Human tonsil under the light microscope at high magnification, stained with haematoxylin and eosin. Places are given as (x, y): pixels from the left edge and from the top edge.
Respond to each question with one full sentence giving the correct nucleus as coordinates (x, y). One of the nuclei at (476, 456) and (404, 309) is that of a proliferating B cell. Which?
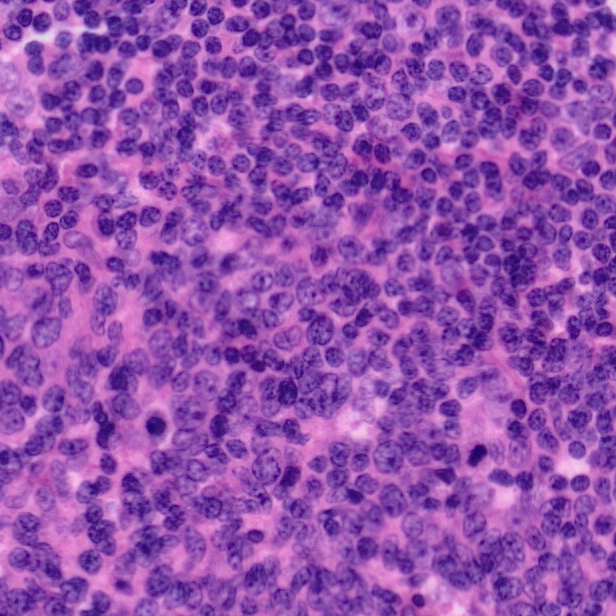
The nucleus contained in a proliferating B cell is the one at (476, 456).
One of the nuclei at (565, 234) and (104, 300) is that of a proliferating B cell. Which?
Between the two nuclei, the one sitting at (104, 300) belongs to a proliferating B cell.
